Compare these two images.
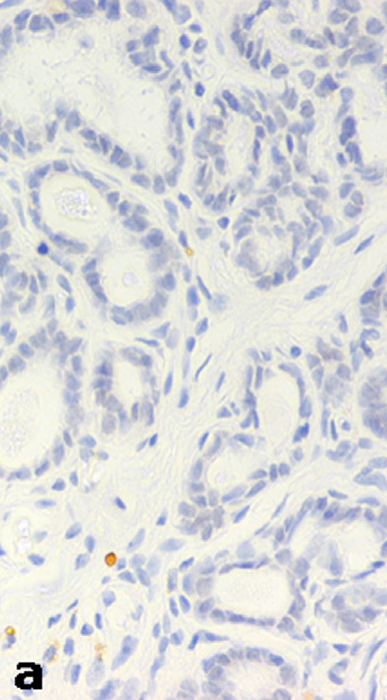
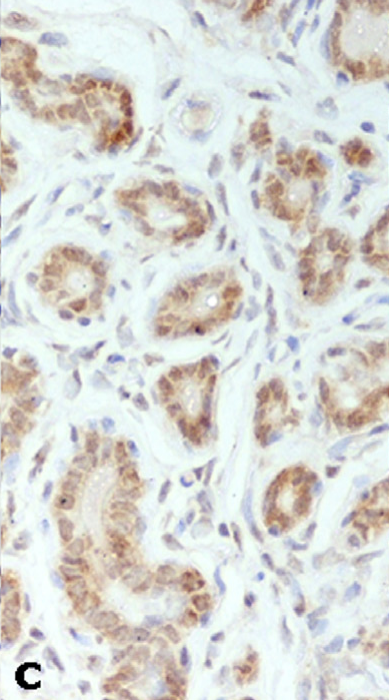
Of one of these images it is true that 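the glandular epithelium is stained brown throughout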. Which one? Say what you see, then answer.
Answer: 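The second image. Second image: the epithelium of nearly every gland is brown in cytoplasm and nuclei. First image: the glands show only blue nuclei, with no brown stain.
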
